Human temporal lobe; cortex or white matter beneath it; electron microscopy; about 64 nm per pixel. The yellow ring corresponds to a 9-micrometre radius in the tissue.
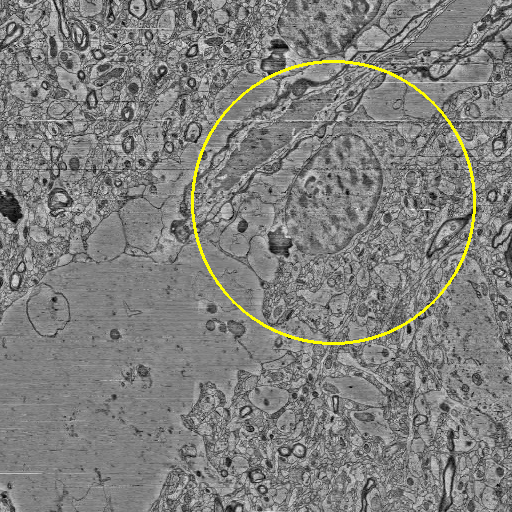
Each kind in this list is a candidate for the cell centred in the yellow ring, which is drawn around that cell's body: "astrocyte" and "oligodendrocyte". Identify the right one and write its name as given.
oligodendrocyte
